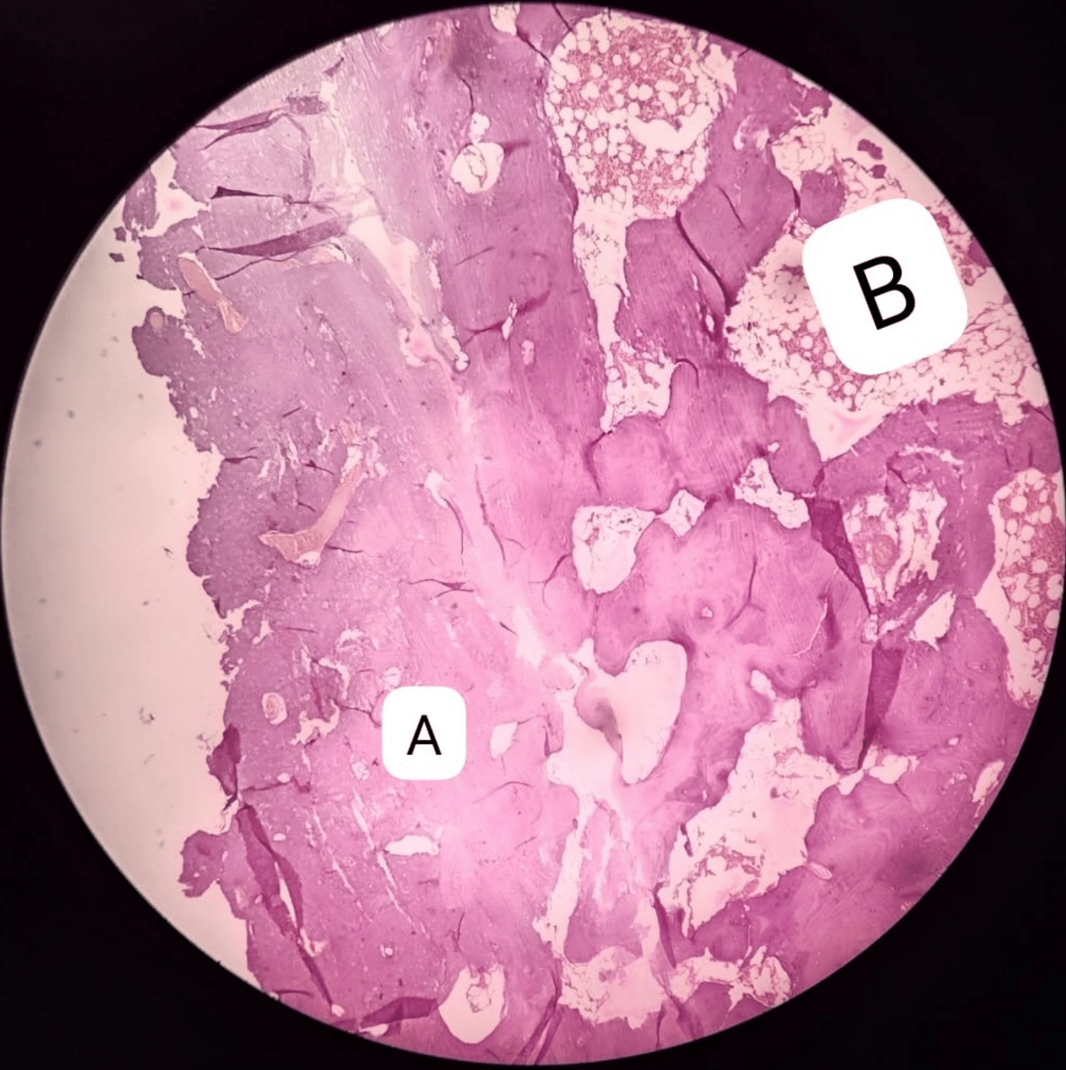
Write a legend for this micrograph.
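Dense pink-purple bone fills most of the field, in broad sheets on the left and irregular interconnecting trabeculae toward the right, with faint parallel layering in its matrix and scattered cracks from sectioning. Between the trabeculae, especially toward the upper right, lie spaces filled with clear rounded fat cells held in a delicate web of pale fibrous strands. At this low magnification no obvious row of plump cells lines the bone surfaces. This is mature lamellar bone set in a surrounding fibro-fatty connective tissue.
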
